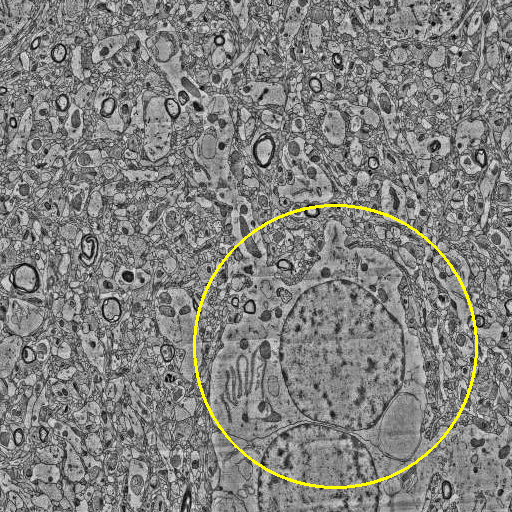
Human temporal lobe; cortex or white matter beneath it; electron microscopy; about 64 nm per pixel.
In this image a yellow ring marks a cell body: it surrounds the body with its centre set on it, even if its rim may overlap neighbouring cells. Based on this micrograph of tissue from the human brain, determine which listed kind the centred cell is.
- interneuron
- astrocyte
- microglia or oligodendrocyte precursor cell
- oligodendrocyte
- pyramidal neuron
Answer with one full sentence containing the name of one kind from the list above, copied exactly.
It is an astrocyte whose body the yellow ring encloses at its centre.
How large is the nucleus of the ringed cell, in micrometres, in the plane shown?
The ringed cell's nucleus measures approximately 10 by 8 micrometres in this plane.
